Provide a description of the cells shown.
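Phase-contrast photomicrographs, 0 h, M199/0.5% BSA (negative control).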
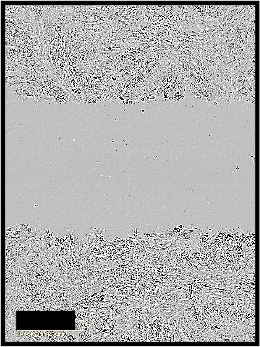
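A dense, grainy layer of closely packed elongated cells covers the top and bottom of the field. Between them runs a straight, even, cell-free band across the middle, pale grey and without texture. The borders of the band are sharp, with the cell layers ending abruptly along them.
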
